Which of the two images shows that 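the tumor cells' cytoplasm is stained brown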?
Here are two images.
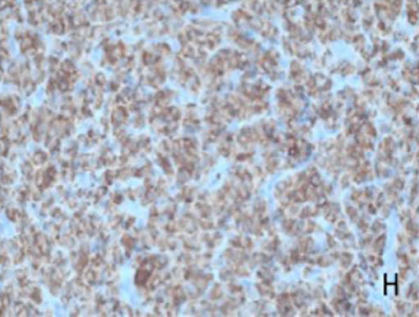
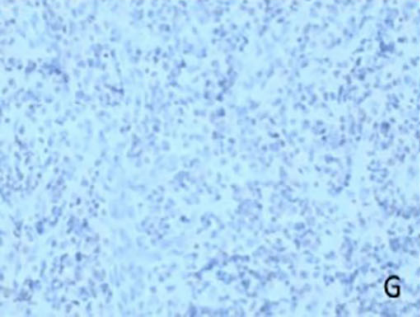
The first image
